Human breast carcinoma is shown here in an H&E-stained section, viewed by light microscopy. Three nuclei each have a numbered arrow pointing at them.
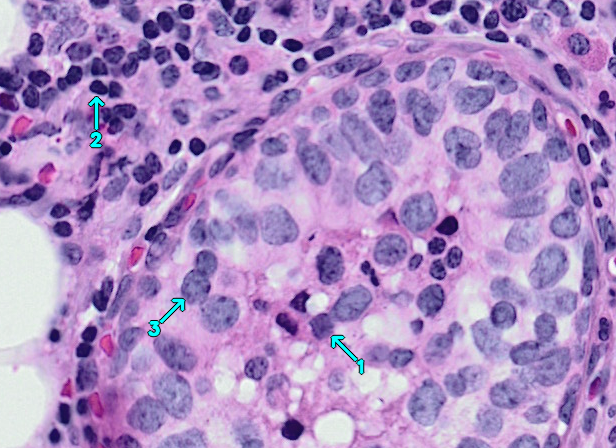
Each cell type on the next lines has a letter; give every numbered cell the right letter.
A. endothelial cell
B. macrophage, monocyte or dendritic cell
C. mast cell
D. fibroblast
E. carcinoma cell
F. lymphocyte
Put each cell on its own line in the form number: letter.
1: E
2: F
3: E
